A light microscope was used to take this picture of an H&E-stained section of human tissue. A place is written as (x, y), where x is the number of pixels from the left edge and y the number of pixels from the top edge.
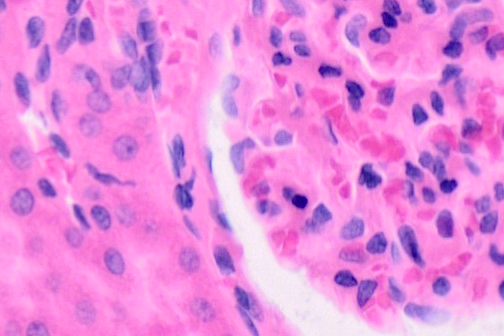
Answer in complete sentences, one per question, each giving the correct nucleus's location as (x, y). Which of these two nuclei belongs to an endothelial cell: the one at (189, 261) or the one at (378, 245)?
The one belonging to an endothelial cell is the nucleus at (378, 245), not the other.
